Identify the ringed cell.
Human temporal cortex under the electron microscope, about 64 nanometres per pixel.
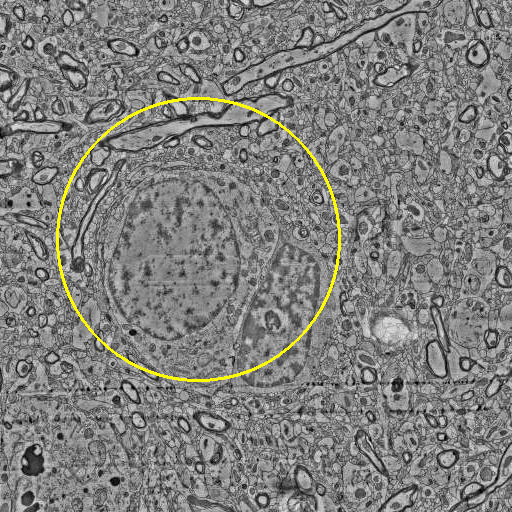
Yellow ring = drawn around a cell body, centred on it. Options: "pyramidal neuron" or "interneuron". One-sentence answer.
What the ring is centred on is an interneuron.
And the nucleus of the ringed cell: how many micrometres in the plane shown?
Approximately 11 by 8 micrometers in this plane.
